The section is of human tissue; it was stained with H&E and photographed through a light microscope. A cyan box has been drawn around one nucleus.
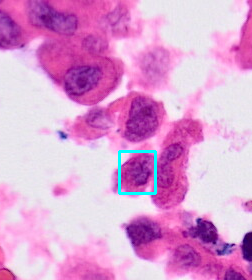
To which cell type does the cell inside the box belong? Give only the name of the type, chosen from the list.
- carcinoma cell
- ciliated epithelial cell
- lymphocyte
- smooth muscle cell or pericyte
carcinoma cell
